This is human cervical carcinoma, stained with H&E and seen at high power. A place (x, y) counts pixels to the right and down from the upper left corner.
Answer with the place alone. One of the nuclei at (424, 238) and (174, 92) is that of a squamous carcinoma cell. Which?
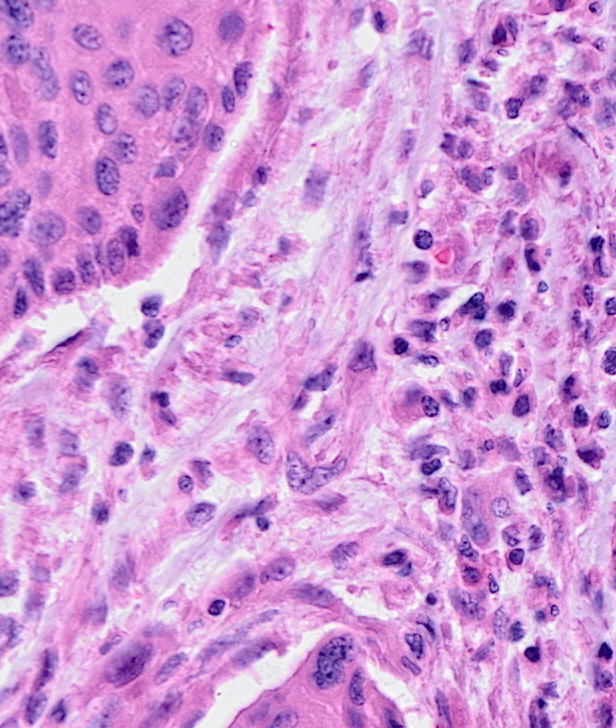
(174, 92)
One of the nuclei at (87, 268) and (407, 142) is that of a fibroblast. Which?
(407, 142)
